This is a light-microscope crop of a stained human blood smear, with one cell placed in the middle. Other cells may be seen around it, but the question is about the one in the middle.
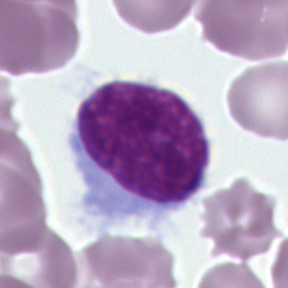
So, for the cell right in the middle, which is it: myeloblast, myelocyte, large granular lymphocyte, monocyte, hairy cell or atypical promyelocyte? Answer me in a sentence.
The cell under consideration, at the middle of the crop, is a hairy cell.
